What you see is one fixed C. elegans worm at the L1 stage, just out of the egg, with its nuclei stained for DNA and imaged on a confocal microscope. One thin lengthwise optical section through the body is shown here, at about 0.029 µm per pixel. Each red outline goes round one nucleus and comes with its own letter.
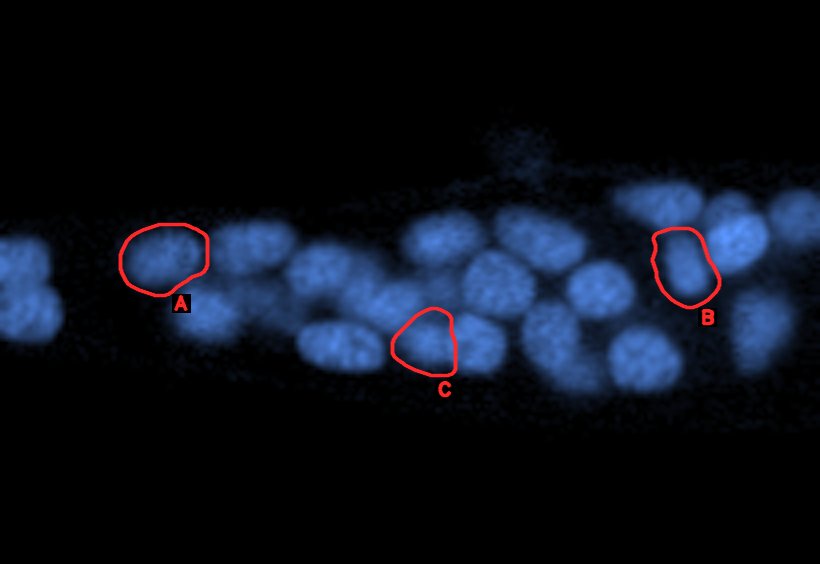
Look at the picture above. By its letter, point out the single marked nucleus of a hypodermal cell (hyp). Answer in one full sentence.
The one from a hypodermal cell (hyp) is A.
